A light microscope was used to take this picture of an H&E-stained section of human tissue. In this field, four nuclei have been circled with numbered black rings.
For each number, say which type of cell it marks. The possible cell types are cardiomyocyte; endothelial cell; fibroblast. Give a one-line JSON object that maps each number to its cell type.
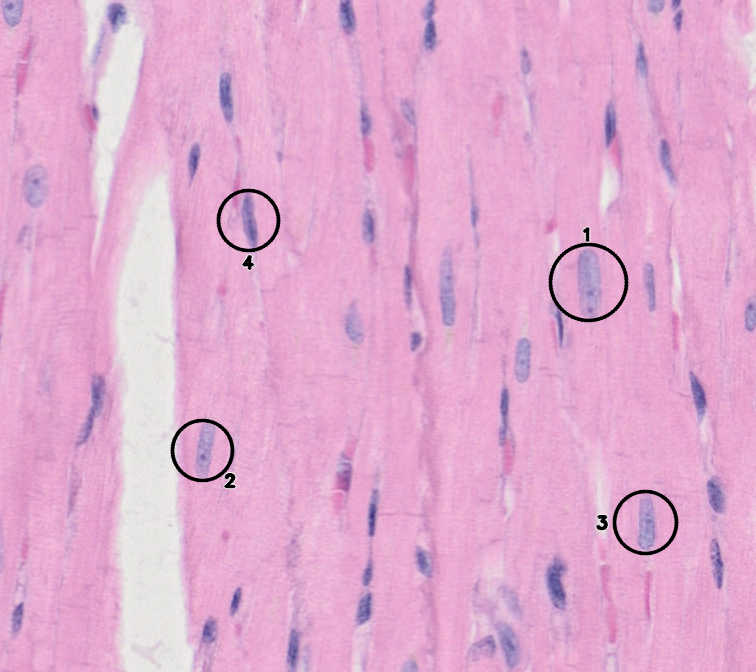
{"1": "cardiomyocyte", "2": "cardiomyocyte", "3": "cardiomyocyte", "4": "fibroblast"}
